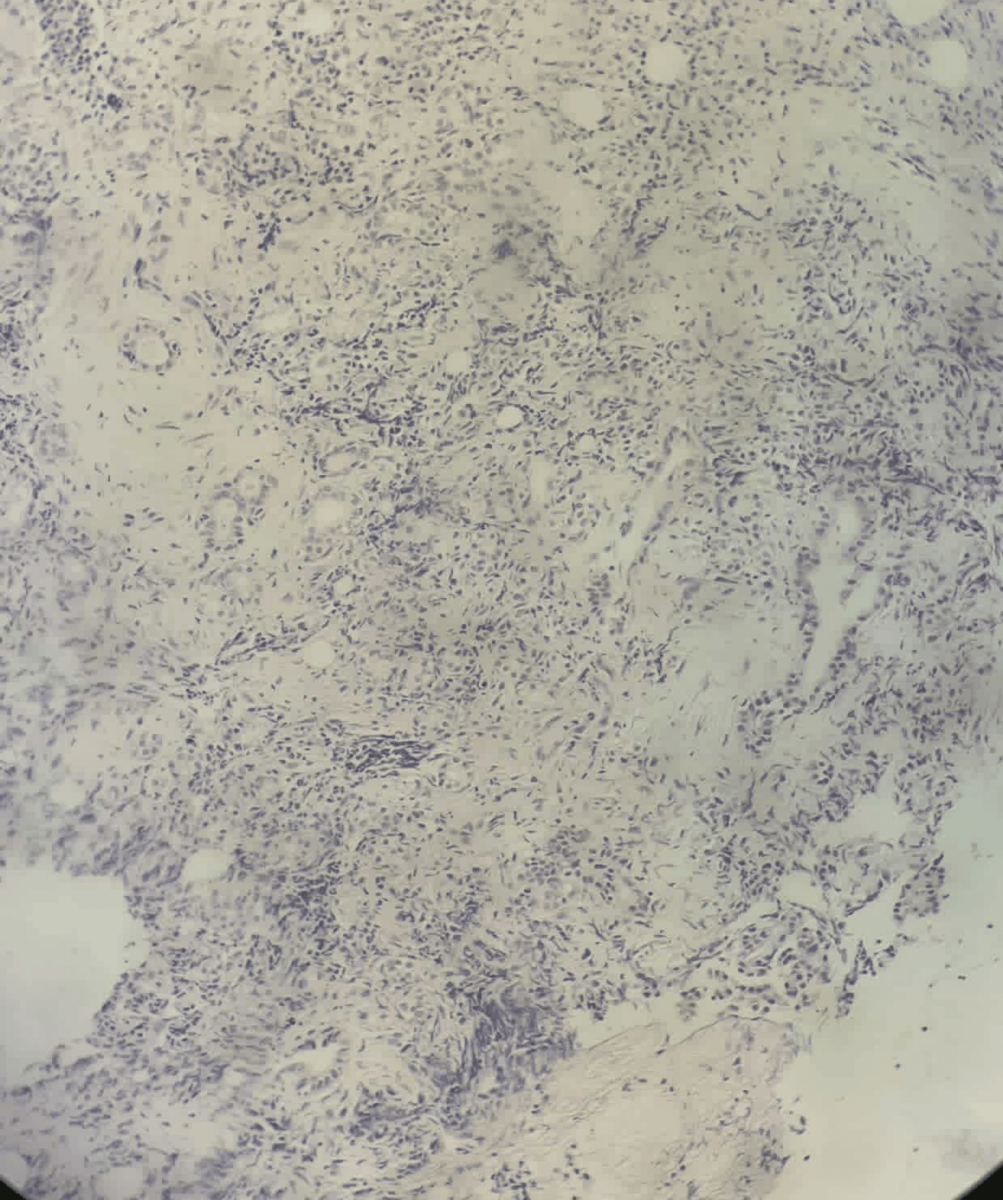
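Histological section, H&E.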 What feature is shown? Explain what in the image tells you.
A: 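Cells with dark nuclei gather in small nests and short strands. Pale, loose material separates these groups of cells.
Hence: clusters and cords.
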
